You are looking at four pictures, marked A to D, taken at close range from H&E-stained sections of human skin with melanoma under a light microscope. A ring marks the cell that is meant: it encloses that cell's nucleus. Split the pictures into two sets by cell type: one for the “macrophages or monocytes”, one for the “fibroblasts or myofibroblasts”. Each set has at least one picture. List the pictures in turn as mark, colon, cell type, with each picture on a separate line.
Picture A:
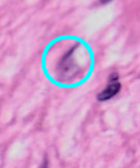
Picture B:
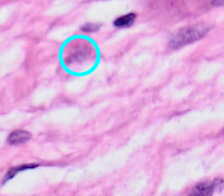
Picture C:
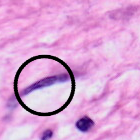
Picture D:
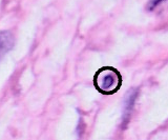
A: fibroblast or myofibroblast
B: fibroblast or myofibroblast
C: fibroblast or myofibroblast
D: macrophage or monocyte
